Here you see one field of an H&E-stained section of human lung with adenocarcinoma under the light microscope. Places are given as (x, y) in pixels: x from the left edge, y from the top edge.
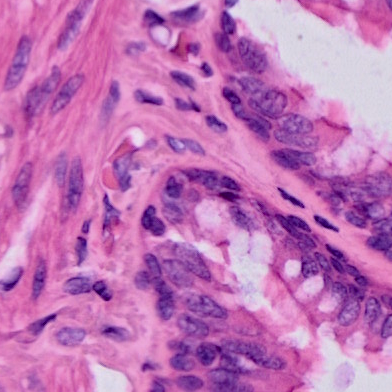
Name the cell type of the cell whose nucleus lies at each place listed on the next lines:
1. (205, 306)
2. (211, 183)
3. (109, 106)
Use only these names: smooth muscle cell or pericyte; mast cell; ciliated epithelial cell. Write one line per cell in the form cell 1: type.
cell 1: ciliated epithelial cell
cell 2: ciliated epithelial cell
cell 3: smooth muscle cell or pericyte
